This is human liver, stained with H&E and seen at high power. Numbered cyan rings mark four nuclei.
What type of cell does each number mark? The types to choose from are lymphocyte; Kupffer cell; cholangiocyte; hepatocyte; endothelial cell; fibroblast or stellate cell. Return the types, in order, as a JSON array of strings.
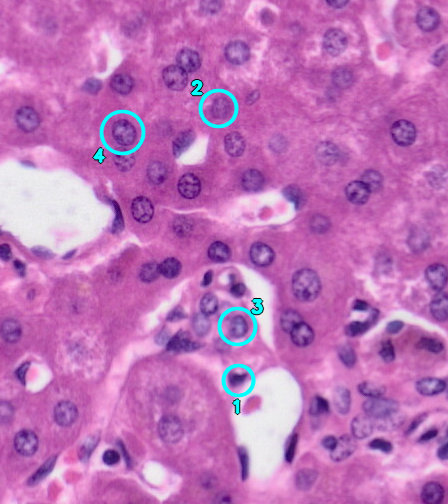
["fibroblast or stellate cell", "hepatocyte", "cholangiocyte", "hepatocyte"]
